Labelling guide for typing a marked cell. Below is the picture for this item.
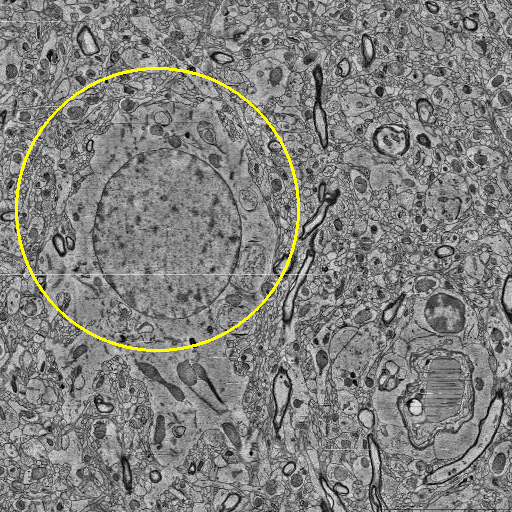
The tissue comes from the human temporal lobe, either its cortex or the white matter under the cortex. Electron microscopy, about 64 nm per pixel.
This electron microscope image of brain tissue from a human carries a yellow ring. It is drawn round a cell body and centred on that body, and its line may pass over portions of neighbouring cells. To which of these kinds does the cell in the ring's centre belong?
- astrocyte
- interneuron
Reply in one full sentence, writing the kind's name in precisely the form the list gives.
Here we have an astrocyte at the centre of the yellow ring in the picture.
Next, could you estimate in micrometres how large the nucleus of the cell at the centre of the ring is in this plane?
Roughly 11 by 10 micrometres in this plane, for the nucleus of the ringed cell.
